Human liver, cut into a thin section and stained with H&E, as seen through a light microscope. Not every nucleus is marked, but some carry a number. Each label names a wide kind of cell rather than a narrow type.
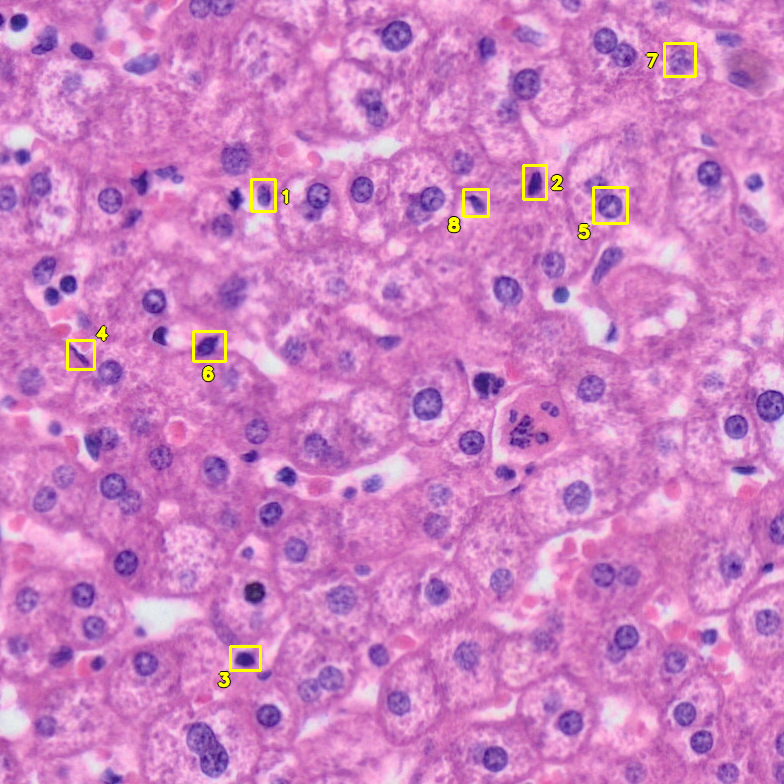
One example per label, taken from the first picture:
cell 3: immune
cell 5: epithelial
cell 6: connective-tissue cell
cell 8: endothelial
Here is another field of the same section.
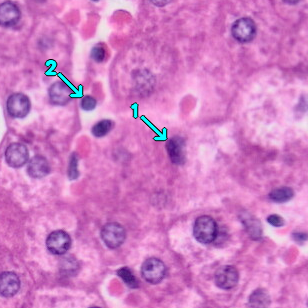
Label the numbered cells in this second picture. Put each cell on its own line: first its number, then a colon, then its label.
1: connective-tissue cell
2: immune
